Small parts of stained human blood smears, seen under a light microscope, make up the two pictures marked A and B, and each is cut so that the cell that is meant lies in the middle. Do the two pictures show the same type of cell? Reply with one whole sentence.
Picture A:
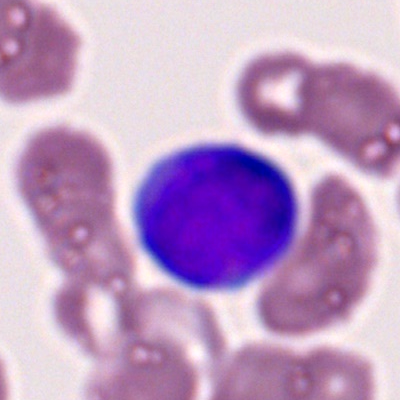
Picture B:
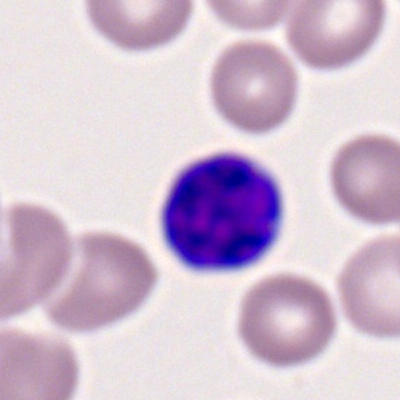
No; the cell in picture A is a myeloblast, while the one in picture B is a lymphocyte.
